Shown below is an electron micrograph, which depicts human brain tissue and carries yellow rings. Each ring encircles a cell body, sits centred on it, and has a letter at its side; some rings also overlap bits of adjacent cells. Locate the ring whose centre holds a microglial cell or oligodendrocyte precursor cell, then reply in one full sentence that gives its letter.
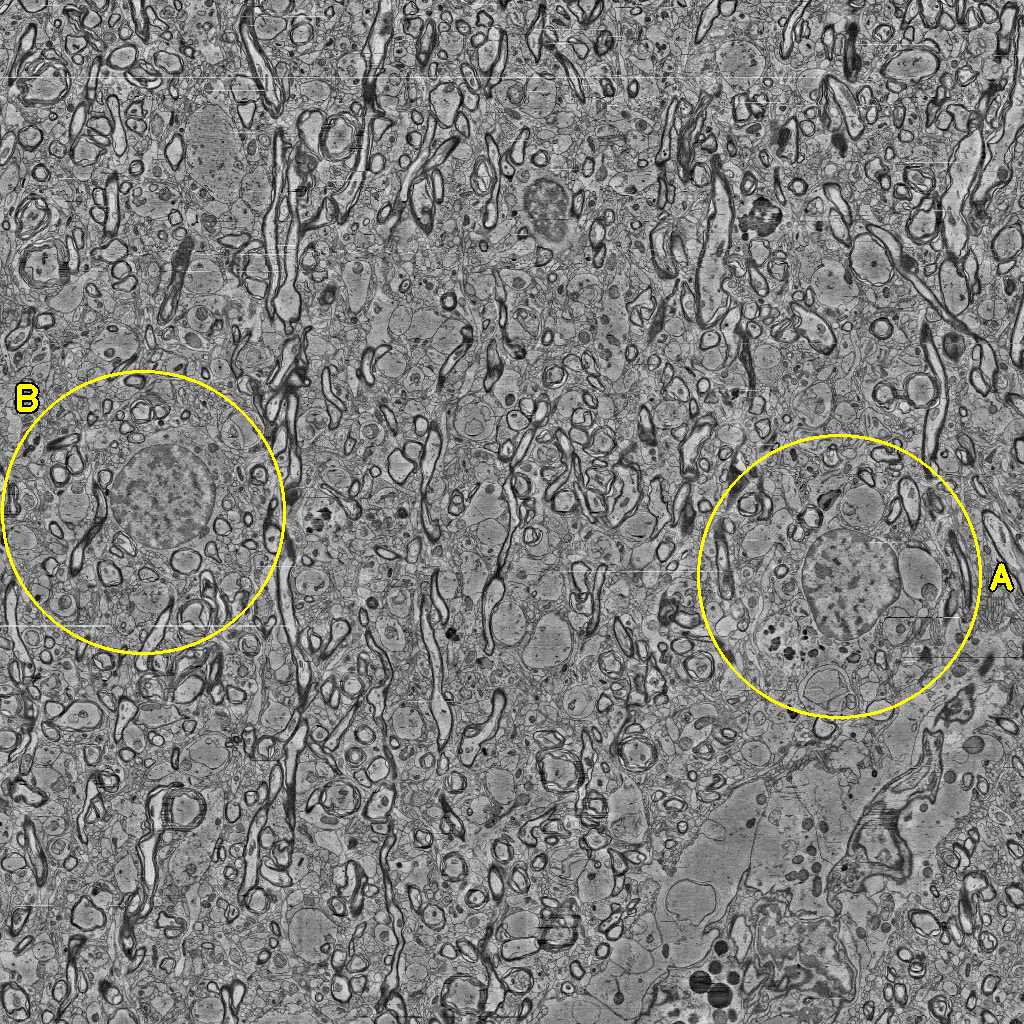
The ring centred on the cell asked for is the one marked A.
